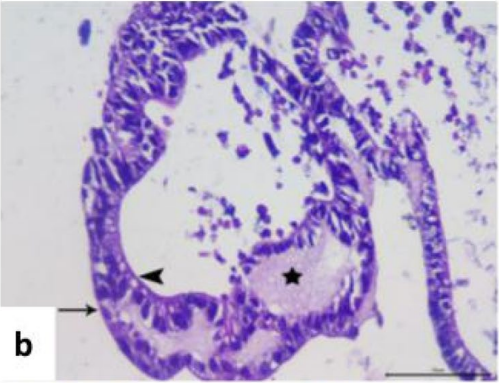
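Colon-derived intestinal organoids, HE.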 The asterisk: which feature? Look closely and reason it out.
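Amorphous and diffusely vacuolated eosinophilic material. A pale pink, structureless mass sits at the asterisk, enclosed by epithelium. It looks finely bubbly and has no nuclei.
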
